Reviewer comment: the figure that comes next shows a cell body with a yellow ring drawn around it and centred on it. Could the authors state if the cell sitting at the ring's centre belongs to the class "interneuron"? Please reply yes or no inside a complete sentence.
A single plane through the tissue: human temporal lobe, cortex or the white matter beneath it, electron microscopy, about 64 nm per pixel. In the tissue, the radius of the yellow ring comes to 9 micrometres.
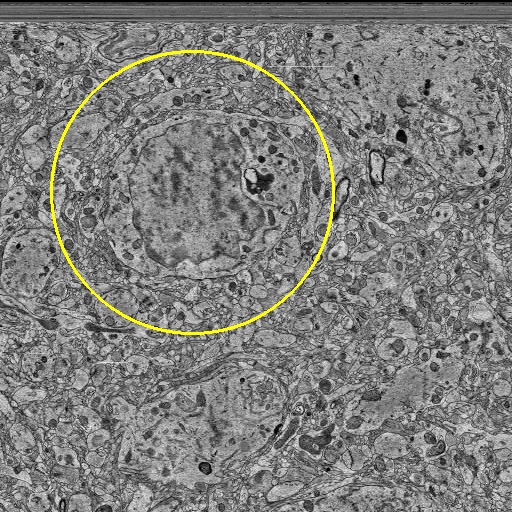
Yes, in the figure, the cell at the ring's centre belongs to that class.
